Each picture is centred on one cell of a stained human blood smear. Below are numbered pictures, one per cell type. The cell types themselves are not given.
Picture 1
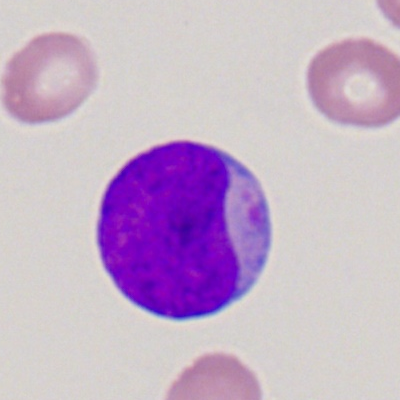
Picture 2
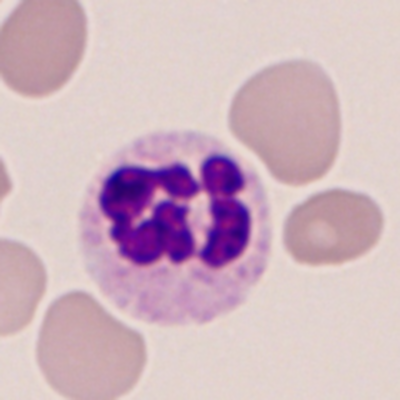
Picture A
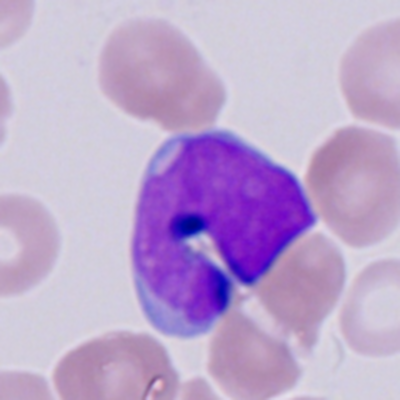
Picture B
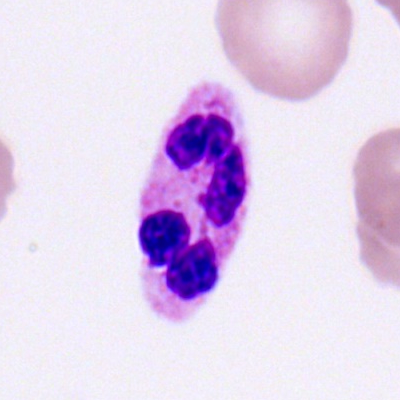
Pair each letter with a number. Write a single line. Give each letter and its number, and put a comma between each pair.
A 1, B 2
